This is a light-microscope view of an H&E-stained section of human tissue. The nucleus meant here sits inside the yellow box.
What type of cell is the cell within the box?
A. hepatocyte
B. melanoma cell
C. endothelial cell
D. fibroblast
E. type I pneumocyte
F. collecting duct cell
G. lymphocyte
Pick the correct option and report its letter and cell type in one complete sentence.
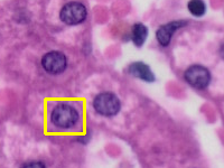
Given that the cell within the box is a hepatocyte, option A is the correct one.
